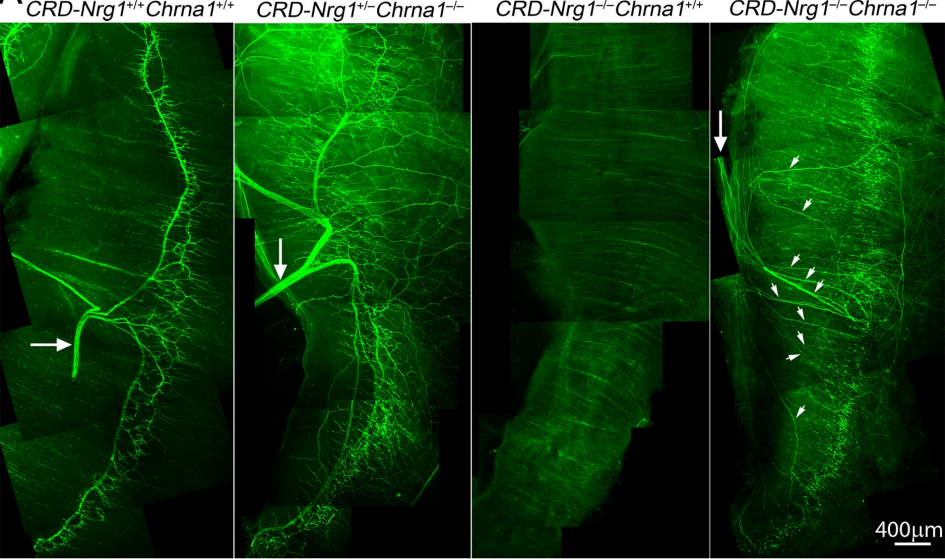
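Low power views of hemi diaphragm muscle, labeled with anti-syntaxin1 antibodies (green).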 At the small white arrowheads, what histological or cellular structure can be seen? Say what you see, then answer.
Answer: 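The small arrowheads point to thin green fibres running separately within the muscle. The fibres spread apart rather than travelling in one bundle.
Hence: defasciculated intramuscular nerves.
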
